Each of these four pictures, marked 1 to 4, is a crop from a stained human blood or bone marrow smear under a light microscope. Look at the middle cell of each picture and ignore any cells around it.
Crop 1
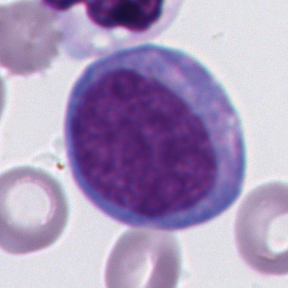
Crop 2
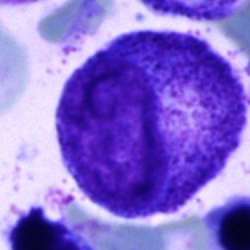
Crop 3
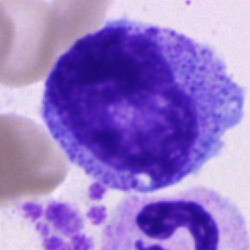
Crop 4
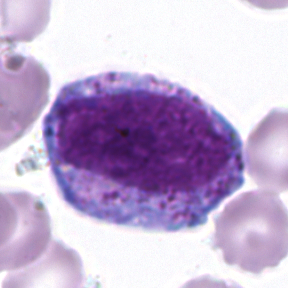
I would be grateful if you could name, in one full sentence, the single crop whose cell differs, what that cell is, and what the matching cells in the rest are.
Unlike the other crops, which all show promyelocytes, crop 2 is a myelocyte.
